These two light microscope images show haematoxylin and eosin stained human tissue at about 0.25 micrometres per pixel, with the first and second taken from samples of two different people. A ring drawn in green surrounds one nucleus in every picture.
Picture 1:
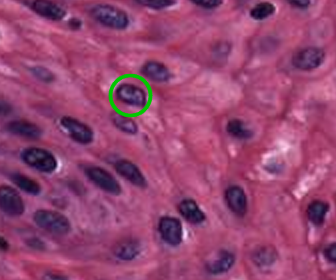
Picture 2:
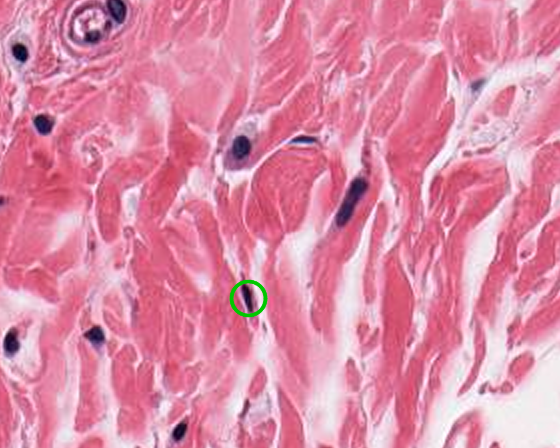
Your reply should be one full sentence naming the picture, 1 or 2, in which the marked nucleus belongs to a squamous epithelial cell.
The marked nucleus of picture 1 is part of a squamous epithelial cell.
